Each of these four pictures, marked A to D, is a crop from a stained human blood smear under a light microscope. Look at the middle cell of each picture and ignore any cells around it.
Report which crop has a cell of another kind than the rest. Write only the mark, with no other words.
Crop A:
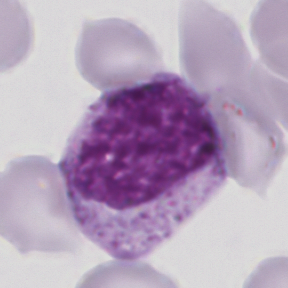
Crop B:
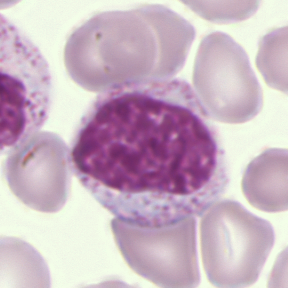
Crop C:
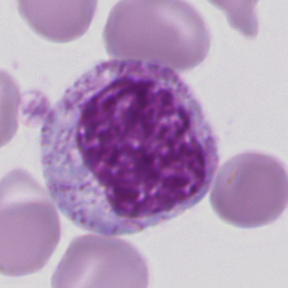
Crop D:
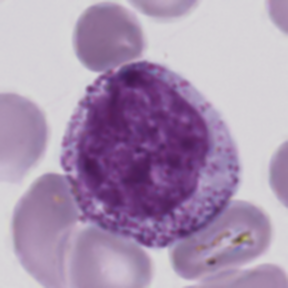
B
